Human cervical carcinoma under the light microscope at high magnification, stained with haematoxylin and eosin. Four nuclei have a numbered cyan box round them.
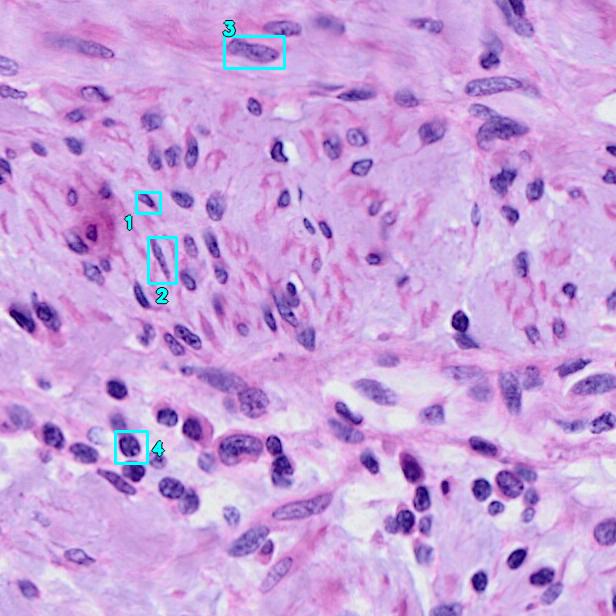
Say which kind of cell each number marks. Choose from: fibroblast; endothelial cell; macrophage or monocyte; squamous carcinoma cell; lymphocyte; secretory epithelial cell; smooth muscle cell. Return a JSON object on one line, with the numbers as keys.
{"1": "smooth muscle cell", "2": "smooth muscle cell", "3": "smooth muscle cell", "4": "lymphocyte"}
